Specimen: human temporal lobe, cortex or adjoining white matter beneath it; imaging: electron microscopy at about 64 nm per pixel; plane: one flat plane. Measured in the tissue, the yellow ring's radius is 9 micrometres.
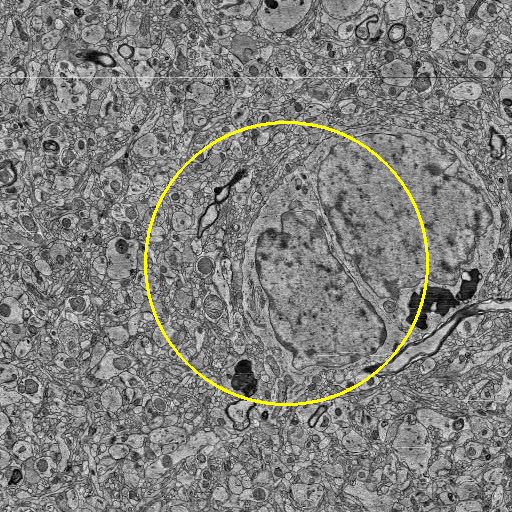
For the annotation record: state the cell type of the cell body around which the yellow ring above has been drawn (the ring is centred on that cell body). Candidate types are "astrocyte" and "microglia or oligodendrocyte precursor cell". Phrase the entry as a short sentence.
The ringed cell is a microglial cell or oligodendrocyte precursor cell.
